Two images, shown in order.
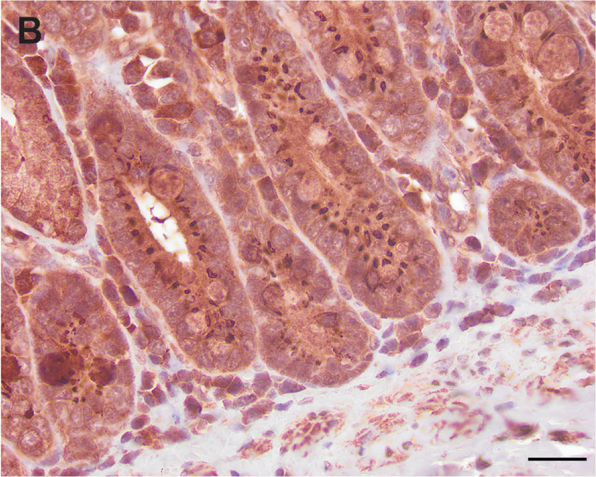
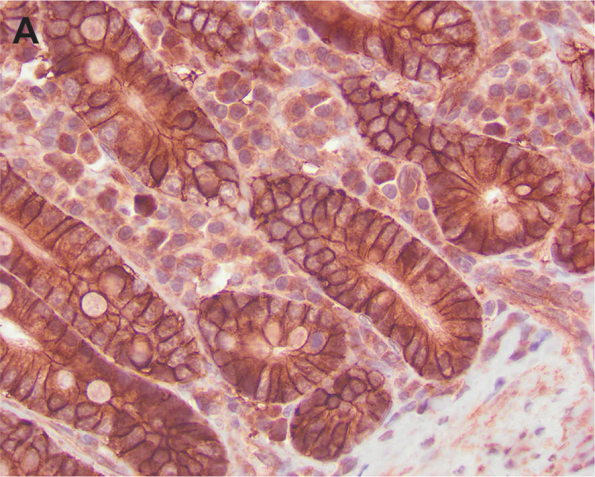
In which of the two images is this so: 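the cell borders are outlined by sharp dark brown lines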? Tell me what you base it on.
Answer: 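The second image. First image: brown colour is diffuse through the cytoplasm with no distinct dark lines at cell borders. Second image: every epithelial cell is rimmed by a crisp dark brown line.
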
